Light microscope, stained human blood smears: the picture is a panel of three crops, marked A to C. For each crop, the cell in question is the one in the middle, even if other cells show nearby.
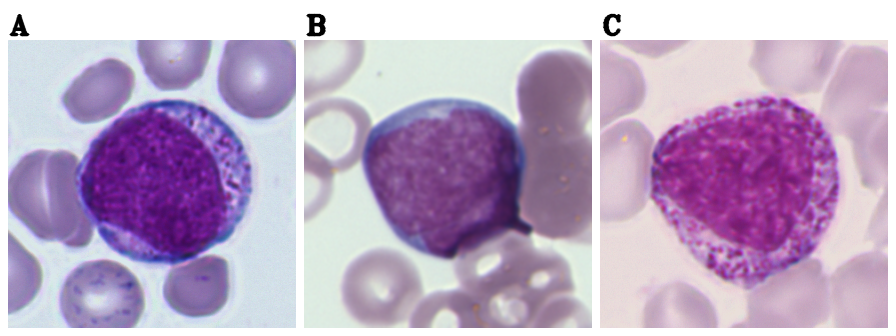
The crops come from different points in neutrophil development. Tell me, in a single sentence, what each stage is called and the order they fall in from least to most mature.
The order from the least mature cell to the most mature cell is crop B (a myeloblast), crop A (a promyelocyte) and crop C (a myelocyte).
